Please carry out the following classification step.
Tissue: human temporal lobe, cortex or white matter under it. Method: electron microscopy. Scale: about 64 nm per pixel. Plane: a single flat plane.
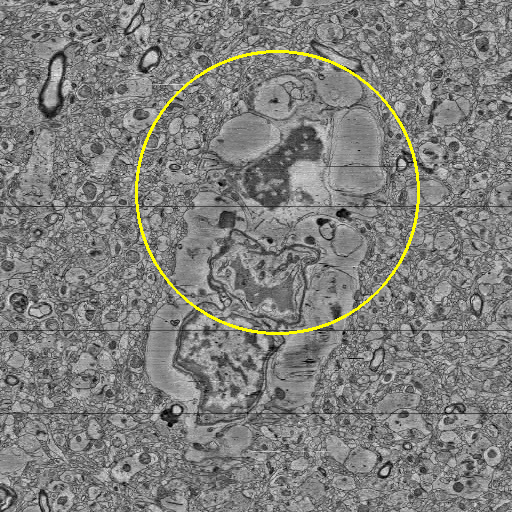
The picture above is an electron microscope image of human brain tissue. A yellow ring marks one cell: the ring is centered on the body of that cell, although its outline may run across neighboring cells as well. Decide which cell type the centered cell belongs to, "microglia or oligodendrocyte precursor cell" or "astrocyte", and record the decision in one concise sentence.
The cell centered in the yellow ring is a microglial cell or oligodendrocyte precursor cell.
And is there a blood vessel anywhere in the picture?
Yes, a blood vessel can be seen.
